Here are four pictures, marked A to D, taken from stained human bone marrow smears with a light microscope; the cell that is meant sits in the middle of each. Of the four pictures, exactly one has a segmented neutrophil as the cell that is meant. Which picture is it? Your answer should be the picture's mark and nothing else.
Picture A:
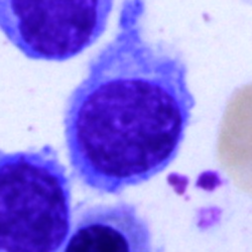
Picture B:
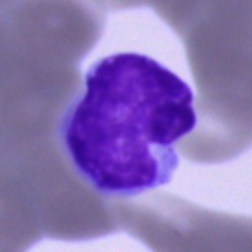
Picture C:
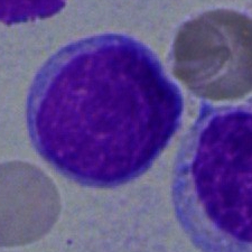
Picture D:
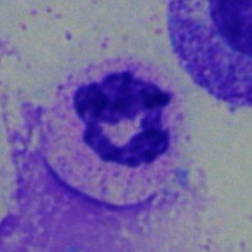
D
